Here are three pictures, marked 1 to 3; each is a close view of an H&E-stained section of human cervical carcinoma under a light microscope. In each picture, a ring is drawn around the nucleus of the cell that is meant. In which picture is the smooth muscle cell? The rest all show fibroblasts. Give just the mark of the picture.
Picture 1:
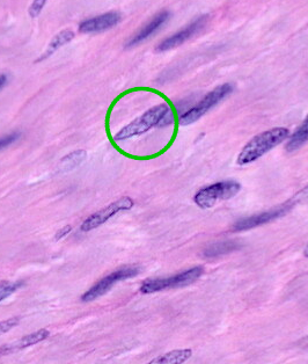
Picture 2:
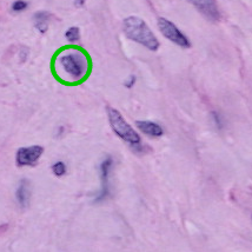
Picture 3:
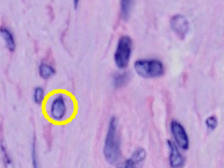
3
